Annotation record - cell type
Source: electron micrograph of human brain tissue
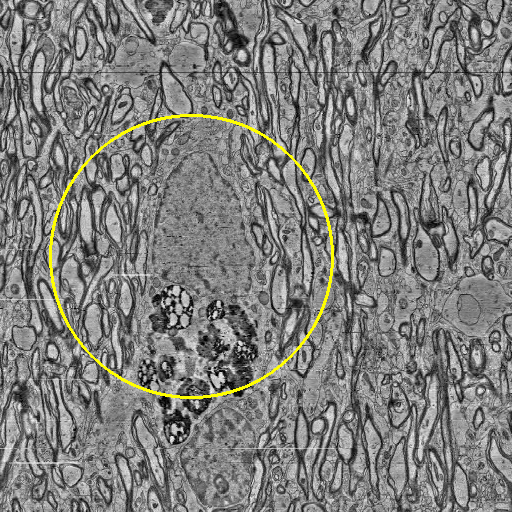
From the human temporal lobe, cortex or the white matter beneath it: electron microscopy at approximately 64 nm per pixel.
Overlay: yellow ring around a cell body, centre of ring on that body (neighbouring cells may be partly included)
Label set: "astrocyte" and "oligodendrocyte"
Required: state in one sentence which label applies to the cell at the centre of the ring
This cell should be labelled as an astrocyte.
